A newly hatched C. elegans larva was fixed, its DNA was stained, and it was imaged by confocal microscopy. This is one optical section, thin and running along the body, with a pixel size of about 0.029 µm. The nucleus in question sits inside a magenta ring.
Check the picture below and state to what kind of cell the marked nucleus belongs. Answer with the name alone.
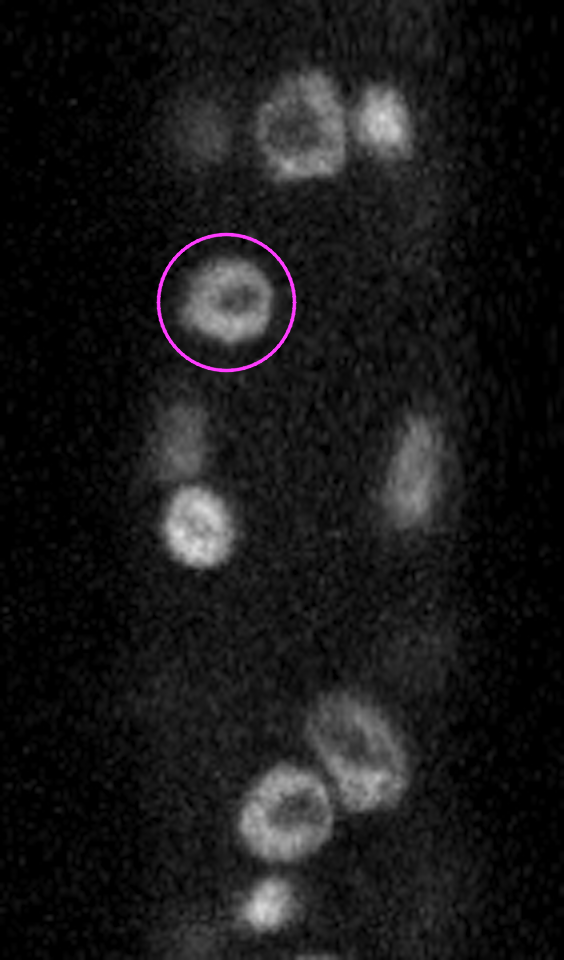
seam cell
